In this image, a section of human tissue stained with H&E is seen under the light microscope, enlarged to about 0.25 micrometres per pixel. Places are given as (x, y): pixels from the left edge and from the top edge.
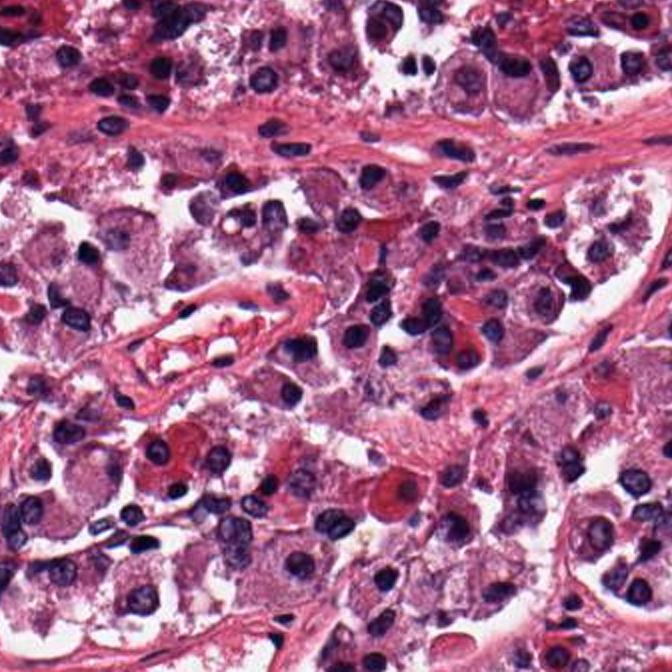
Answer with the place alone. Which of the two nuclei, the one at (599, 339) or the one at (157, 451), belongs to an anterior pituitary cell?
(157, 451)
